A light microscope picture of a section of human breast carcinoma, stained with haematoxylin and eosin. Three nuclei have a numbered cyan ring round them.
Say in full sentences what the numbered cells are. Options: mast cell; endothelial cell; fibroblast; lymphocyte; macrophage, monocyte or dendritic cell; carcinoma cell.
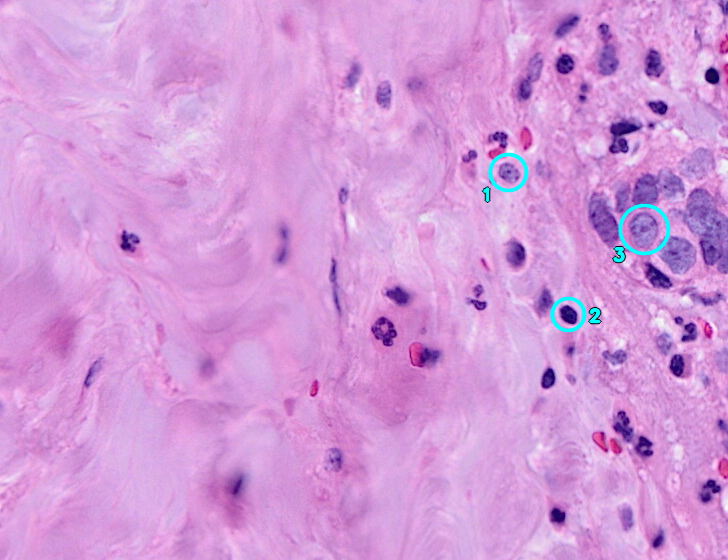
Cell 1 is a mast cell. Cell 2 is a lymphocyte. Cell 3 is a carcinoma cell.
